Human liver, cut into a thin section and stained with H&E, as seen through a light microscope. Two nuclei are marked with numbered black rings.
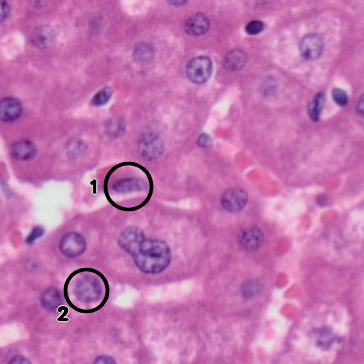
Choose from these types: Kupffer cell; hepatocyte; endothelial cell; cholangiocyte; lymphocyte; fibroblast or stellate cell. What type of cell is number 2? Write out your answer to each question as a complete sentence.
The nucleus with number 2 is that of a hepatocyte.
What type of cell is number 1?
The cell pointed out by number 1 is a Kupffer cell.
